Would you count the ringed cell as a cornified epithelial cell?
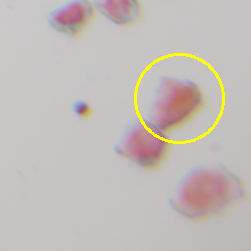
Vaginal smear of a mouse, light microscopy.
Yes, I would count it as a cornified epithelial cell.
